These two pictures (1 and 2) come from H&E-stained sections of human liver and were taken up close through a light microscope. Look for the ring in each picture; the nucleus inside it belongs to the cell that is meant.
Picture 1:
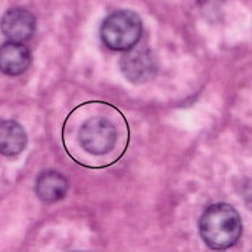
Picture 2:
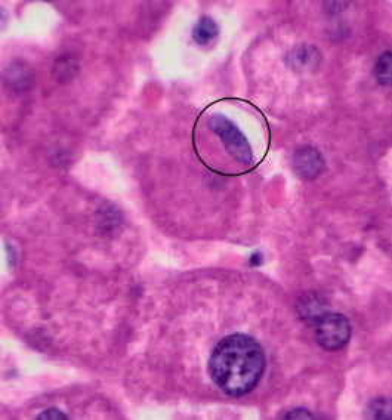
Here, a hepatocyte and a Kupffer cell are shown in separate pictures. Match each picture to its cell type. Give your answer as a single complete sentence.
Picture 1 is of a hepatocyte, and picture 2 is of a Kupffer cell.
